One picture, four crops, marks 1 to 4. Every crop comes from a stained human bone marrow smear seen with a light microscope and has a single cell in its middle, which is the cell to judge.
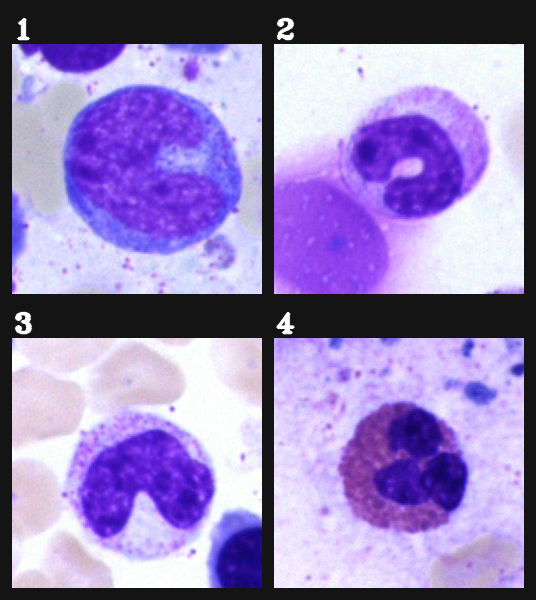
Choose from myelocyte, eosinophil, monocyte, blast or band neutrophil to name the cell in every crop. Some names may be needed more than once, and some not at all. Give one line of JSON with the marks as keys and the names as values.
{"1": "monocyte", "2": "band neutrophil", "3": "band neutrophil", "4": "eosinophil"}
